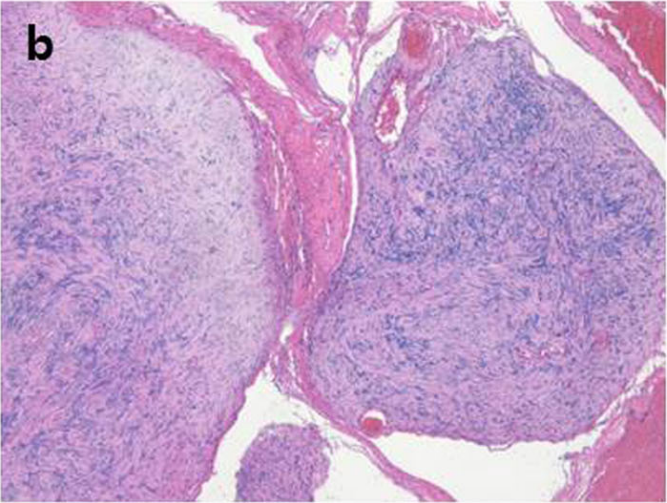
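At low power this tumor shows a multinodular growth pattern, with rounded nodules of differing size. The nodules are filled with spindle-shaped tumor cells whose bluish nuclei stream in fascicles, with paler, looser zones alternating with more cellular ones. Thin pink fibrous septa and clefts separate the nodules, and a small nodule lies at the lower edge beside the larger two.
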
